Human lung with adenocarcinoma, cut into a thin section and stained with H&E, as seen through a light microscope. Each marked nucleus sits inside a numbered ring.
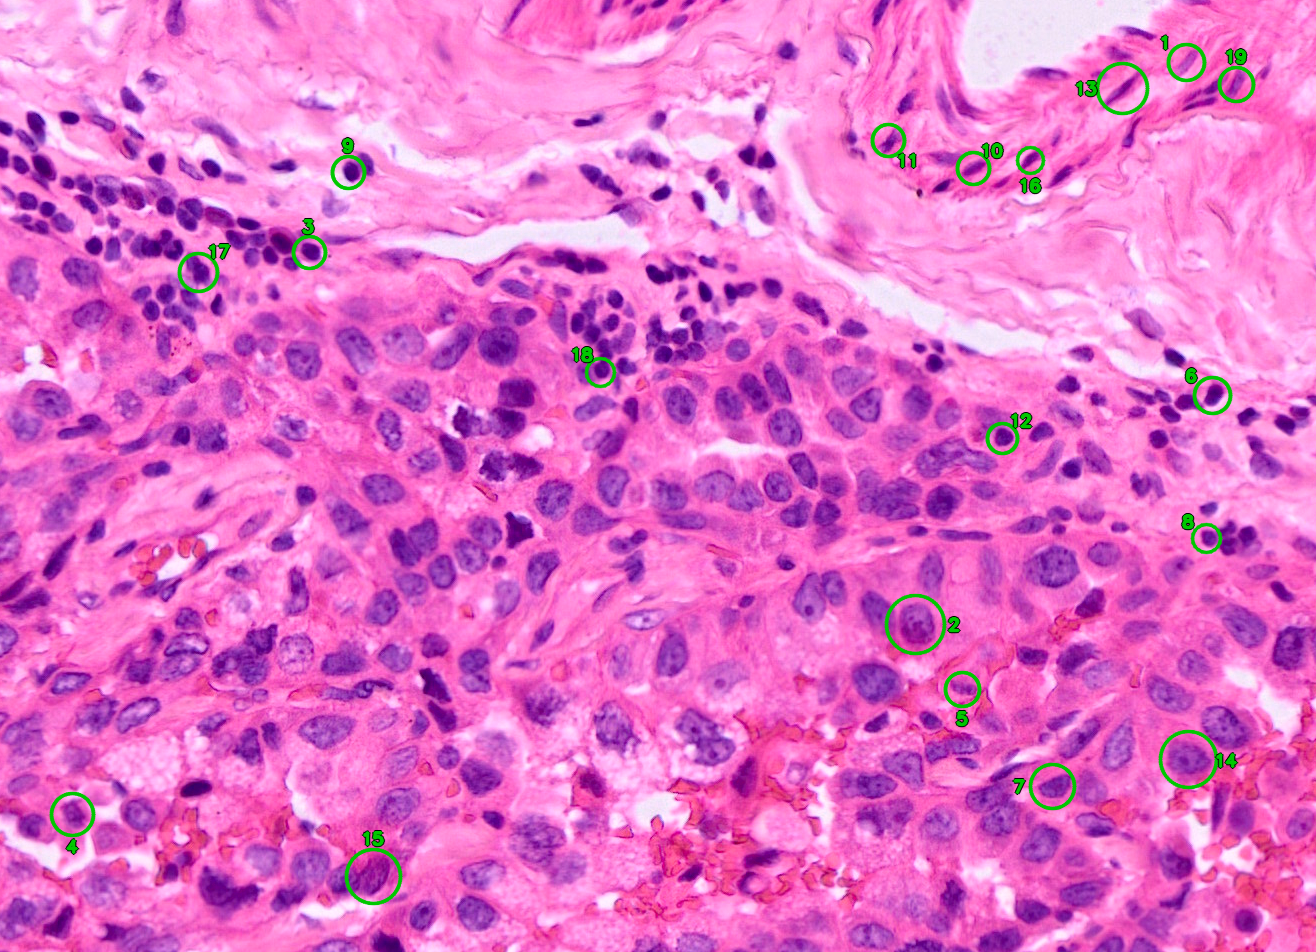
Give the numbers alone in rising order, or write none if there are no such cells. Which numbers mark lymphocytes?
3, 6, 8, 9, 12, 17, 18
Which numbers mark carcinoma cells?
2, 4, 7, 14, 15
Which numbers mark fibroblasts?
none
